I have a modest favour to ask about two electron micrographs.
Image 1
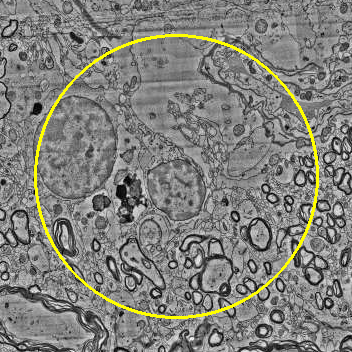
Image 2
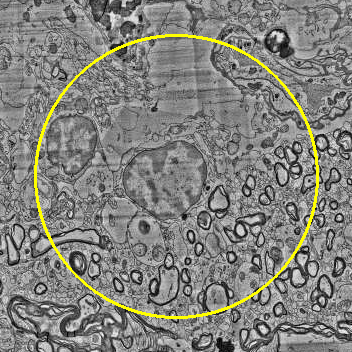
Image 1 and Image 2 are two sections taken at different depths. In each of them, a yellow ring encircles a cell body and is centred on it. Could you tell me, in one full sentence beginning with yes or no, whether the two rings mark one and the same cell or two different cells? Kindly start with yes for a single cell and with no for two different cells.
Yes, the same cell turns up inside each of the two rings.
